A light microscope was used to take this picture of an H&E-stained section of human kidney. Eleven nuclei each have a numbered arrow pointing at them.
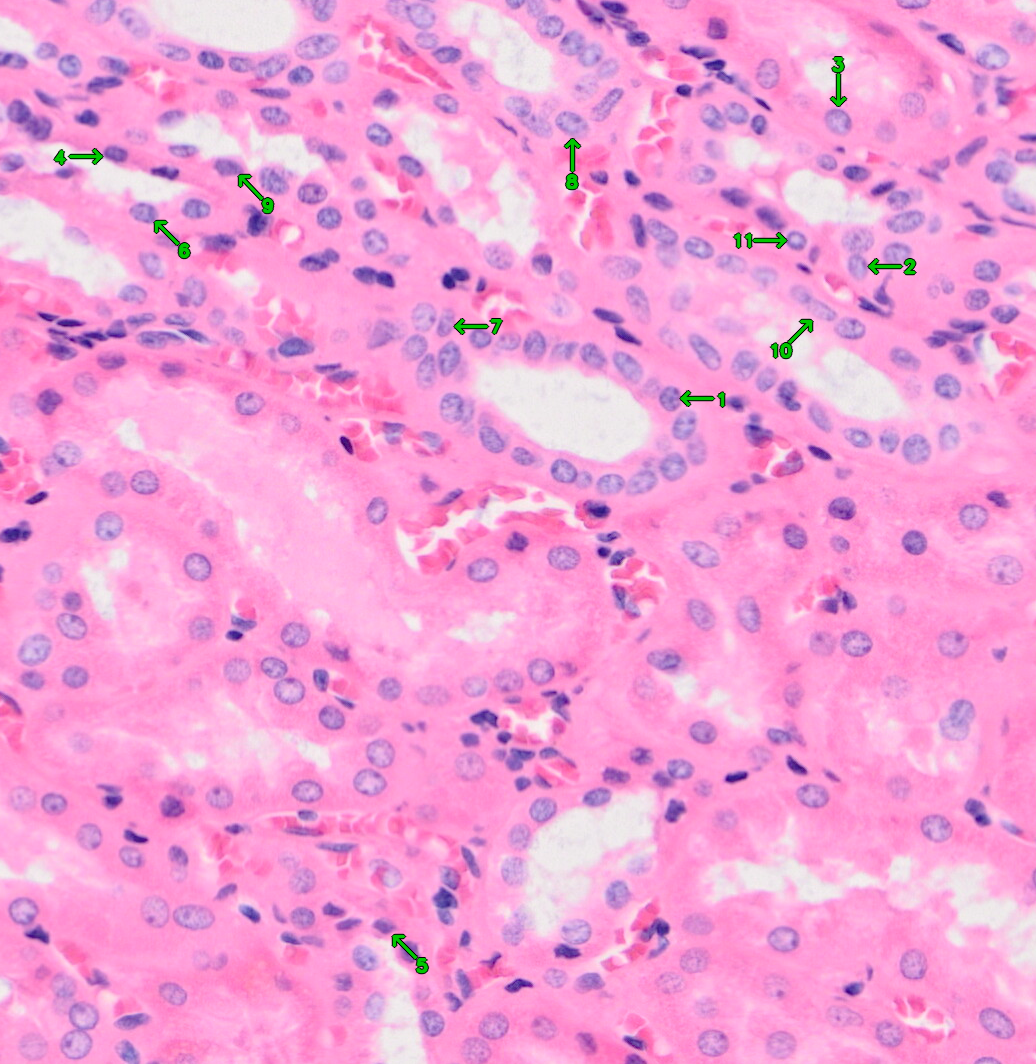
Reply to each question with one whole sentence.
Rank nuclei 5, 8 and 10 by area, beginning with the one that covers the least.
Smallest first, the nuclei run 5, 10, 8.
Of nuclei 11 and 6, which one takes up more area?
Of the two, number 6 is bigger and takes up about 1.5 times the area of number 11.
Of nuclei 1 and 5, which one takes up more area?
At about 1.5 times the area of nucleus 5, nucleus 1 is the larger of the two.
